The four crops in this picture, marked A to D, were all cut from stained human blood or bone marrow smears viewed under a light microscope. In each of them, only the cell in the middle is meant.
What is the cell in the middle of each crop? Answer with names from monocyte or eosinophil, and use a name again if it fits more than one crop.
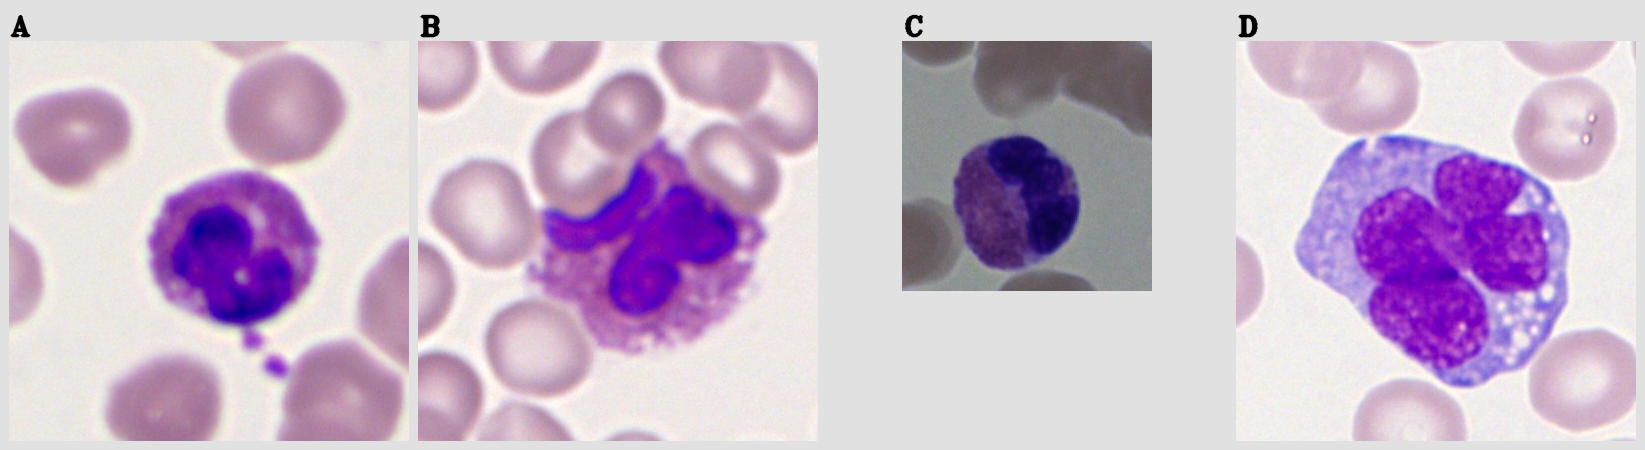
A: eosinophil
B: eosinophil
C: eosinophil
D: monocyte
